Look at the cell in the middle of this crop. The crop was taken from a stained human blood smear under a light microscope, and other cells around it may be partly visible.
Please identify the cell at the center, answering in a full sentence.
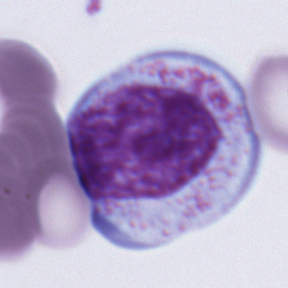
Within this crop, a myelocyte occupies the central position.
